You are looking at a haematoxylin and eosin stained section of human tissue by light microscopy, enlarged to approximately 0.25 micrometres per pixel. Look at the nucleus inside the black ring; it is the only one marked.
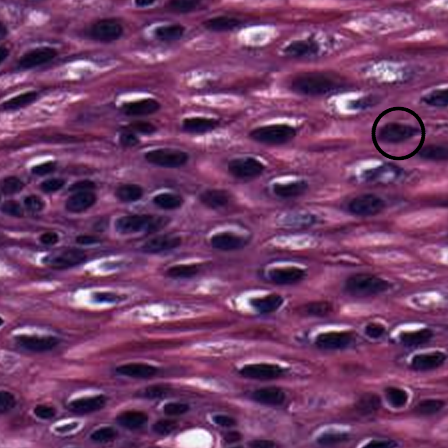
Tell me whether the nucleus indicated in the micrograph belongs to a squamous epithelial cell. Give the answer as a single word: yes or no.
yes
